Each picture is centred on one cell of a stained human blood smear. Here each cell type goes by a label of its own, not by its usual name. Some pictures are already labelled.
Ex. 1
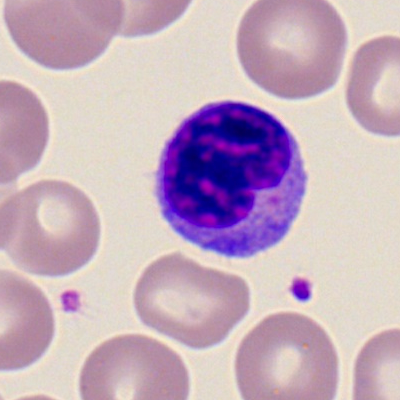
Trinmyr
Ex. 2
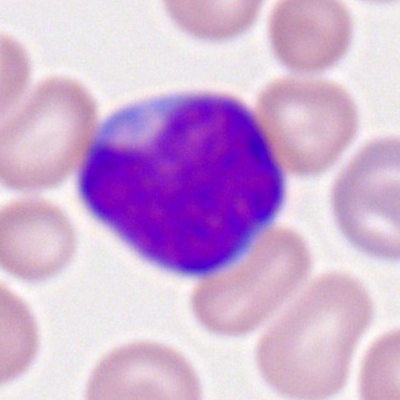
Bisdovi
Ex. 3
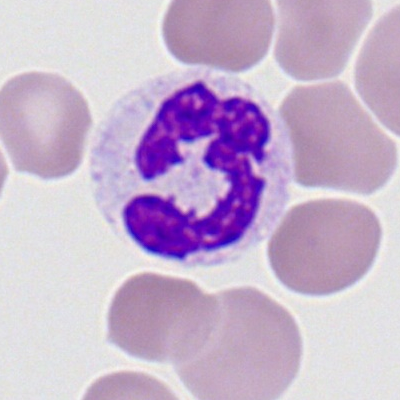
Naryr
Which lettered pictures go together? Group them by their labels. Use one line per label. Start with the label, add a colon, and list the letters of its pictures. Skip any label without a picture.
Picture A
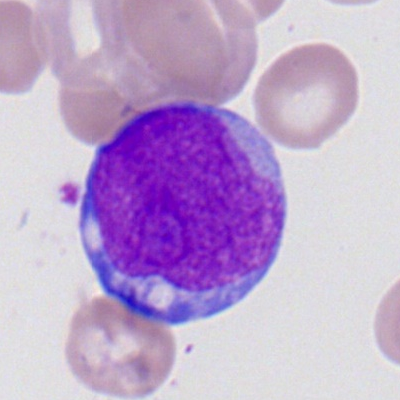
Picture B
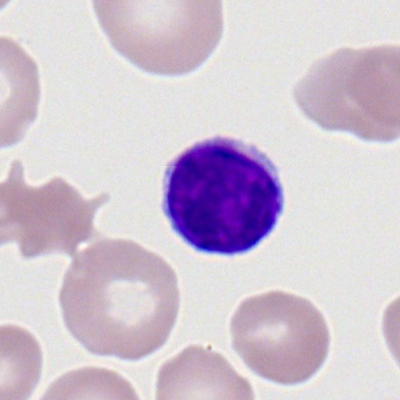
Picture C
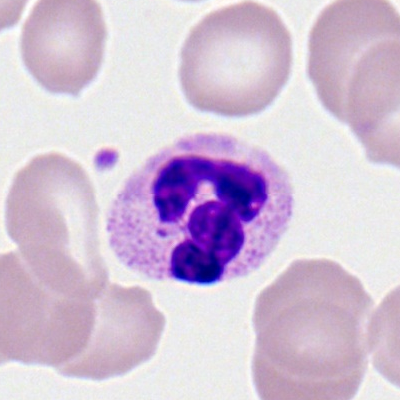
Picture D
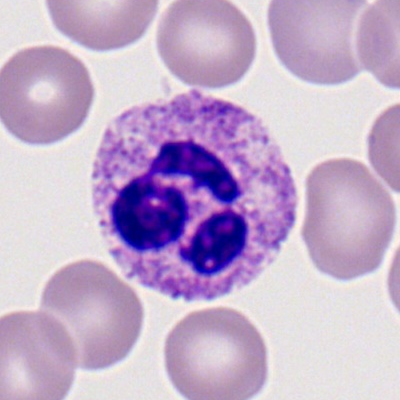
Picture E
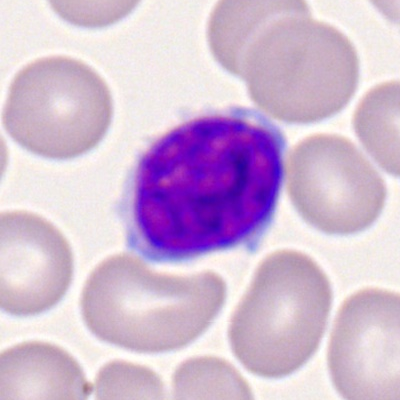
Trinmyr: B, E
Bisdovi: A
Naryr: C, D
